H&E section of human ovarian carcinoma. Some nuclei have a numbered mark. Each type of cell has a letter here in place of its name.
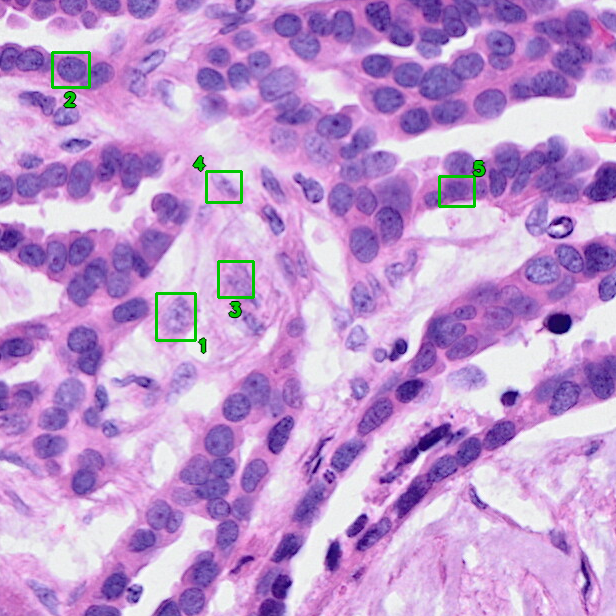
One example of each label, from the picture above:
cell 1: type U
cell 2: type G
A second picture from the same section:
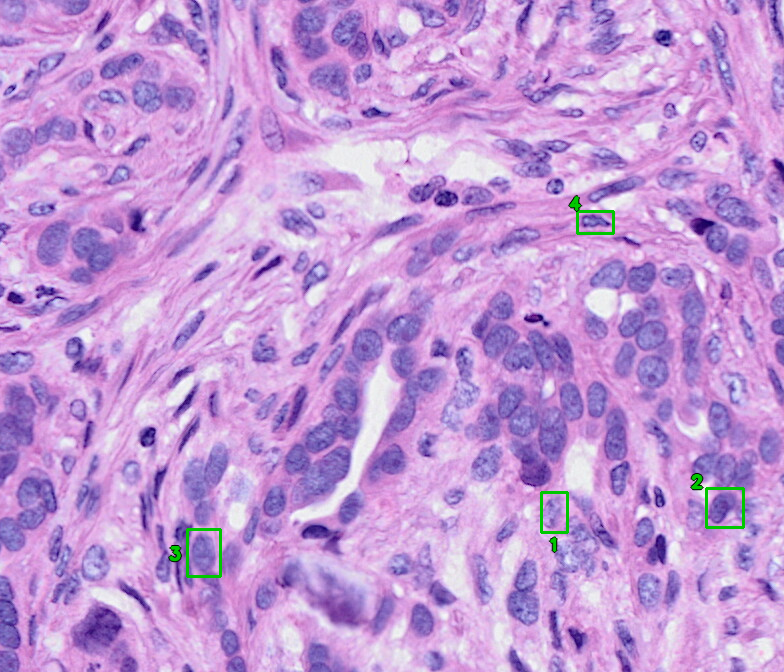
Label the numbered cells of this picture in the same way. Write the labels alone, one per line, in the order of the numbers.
type U
type G
type G
type U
